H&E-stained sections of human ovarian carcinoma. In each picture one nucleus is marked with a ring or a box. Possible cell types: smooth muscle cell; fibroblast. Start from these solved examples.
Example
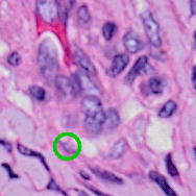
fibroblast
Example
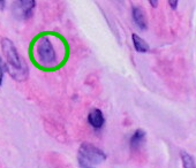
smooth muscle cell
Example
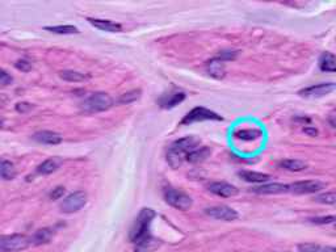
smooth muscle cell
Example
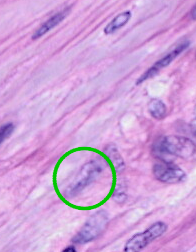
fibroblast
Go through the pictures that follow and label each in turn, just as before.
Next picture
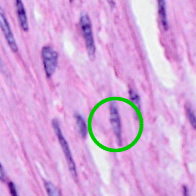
fibroblast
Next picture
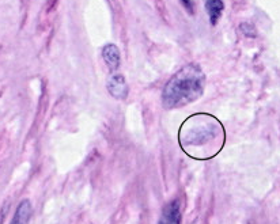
fibroblast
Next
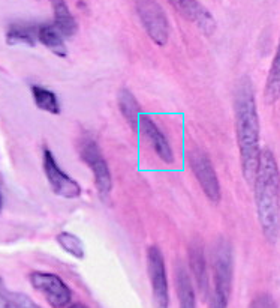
smooth muscle cell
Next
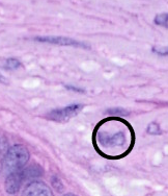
fibroblast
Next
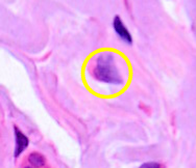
fibroblast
